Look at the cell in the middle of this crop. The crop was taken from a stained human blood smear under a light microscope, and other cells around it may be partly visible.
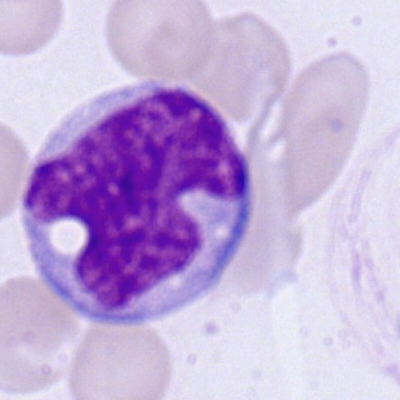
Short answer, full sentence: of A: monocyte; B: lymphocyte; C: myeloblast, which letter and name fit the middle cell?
The correct identification, given in option A, is that the central cell is a monocyte.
